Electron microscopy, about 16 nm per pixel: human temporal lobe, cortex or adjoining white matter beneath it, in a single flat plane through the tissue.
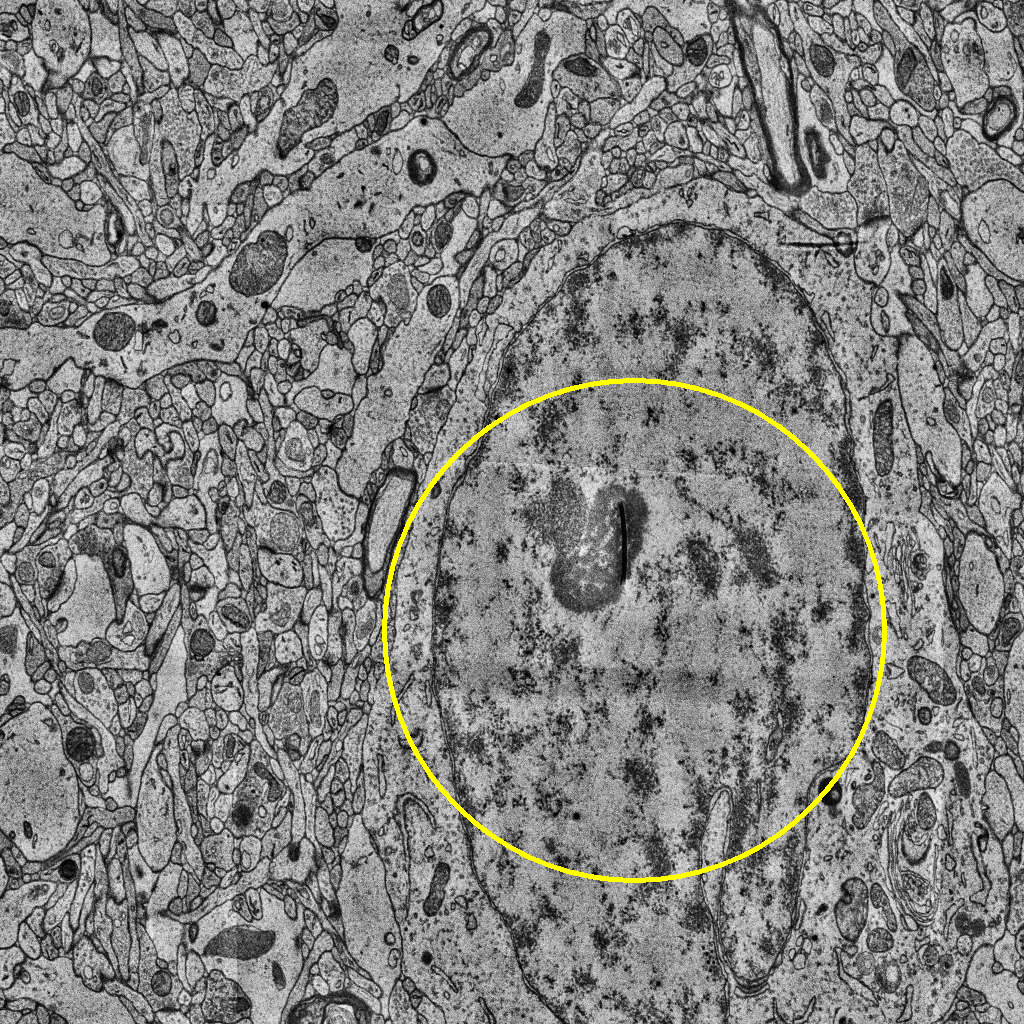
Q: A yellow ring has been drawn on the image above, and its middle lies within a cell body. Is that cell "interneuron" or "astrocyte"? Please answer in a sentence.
The ring's middle lies in the cell body of an interneuron.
